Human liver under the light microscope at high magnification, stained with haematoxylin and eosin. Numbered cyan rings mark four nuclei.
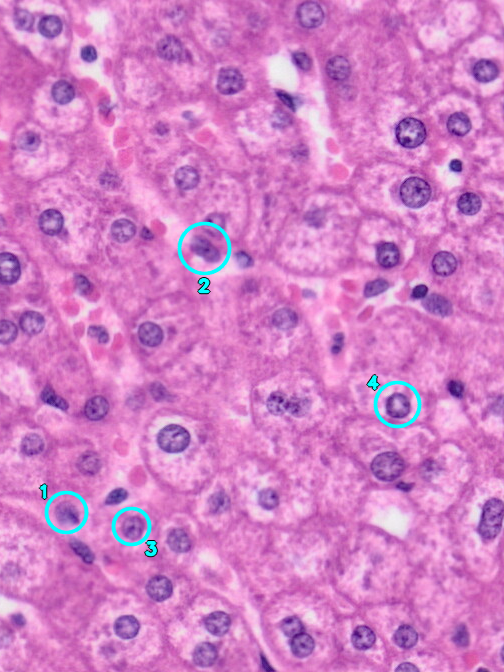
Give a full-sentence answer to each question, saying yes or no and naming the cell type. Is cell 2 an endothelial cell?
Yes, the cell bearing the number 2 is an endothelial cell.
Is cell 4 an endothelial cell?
No, number 4 is not an endothelial cell; it is a hepatocyte.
